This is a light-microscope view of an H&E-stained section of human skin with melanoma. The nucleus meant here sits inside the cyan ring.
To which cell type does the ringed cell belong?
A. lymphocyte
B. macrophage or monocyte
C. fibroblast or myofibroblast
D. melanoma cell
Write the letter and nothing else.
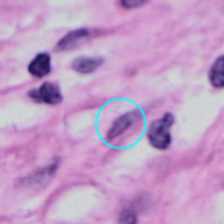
B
